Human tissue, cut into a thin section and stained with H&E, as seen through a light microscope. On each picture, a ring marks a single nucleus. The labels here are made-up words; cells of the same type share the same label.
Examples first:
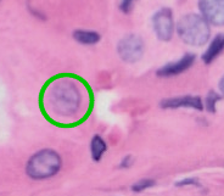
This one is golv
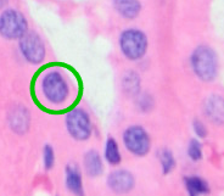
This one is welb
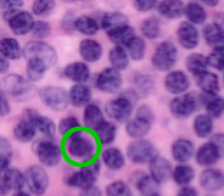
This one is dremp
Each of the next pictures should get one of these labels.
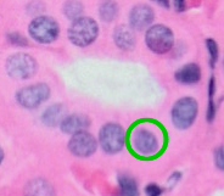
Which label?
welb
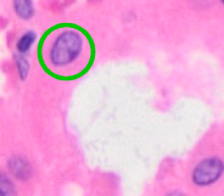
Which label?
golv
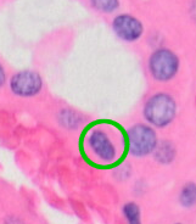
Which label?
welb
